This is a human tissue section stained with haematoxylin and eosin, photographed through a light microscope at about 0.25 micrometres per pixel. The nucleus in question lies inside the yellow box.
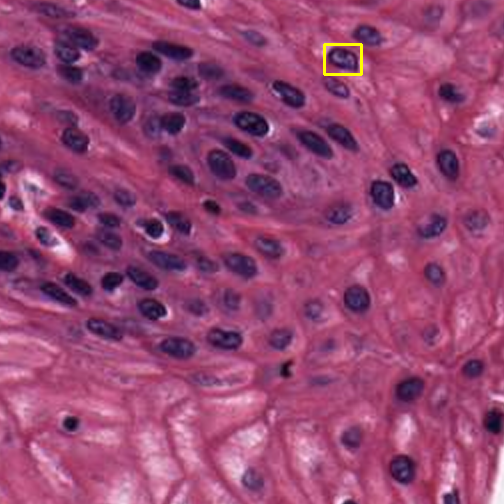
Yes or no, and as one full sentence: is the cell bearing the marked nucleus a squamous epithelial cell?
Yes, the marked nucleus is recognised as belonging to a squamous epithelial cell.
